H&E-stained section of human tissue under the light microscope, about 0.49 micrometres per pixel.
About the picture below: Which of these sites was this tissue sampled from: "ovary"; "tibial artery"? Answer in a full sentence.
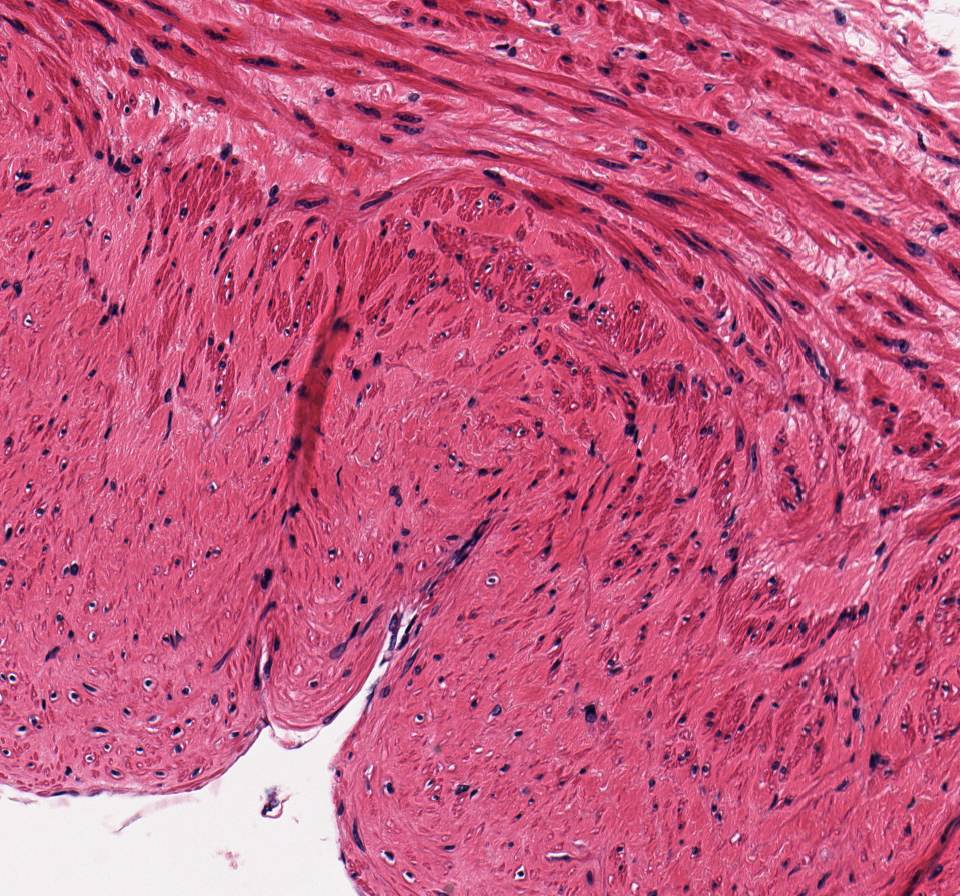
The site this tissue was sampled from is the tibial artery.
